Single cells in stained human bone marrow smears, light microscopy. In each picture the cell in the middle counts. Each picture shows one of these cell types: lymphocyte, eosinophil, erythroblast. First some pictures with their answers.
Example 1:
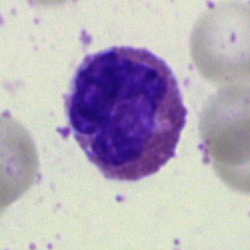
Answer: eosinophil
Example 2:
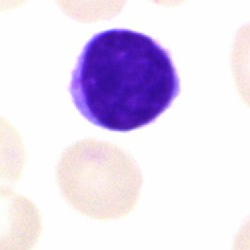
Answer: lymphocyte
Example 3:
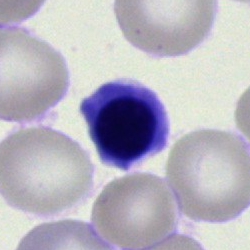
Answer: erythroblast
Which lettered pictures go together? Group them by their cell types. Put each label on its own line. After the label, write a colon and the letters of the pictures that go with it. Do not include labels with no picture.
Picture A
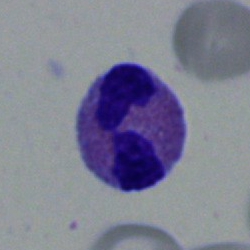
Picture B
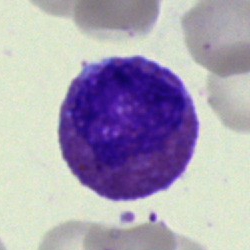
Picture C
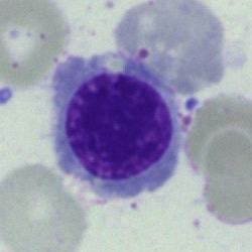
eosinophil: A, B
erythroblast: C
